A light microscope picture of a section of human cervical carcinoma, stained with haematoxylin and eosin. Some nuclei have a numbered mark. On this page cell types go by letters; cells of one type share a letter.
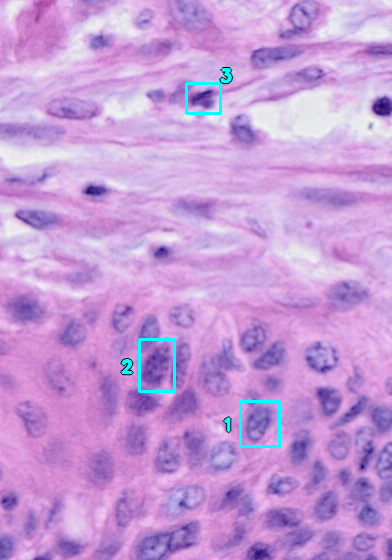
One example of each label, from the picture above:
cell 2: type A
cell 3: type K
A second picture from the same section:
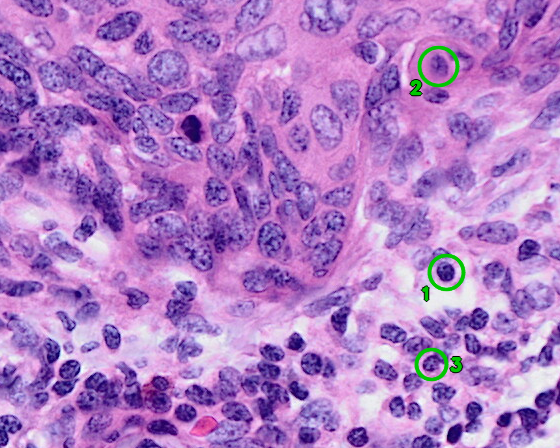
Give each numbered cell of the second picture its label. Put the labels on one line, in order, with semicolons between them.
type K; type A; type K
